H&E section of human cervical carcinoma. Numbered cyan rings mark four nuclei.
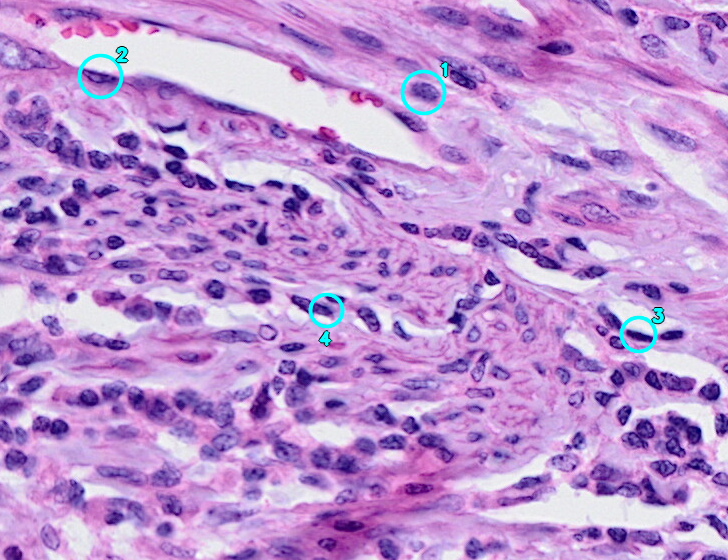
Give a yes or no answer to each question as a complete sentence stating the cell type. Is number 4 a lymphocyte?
Yes, the cell corresponding to number 4 is a lymphocyte.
